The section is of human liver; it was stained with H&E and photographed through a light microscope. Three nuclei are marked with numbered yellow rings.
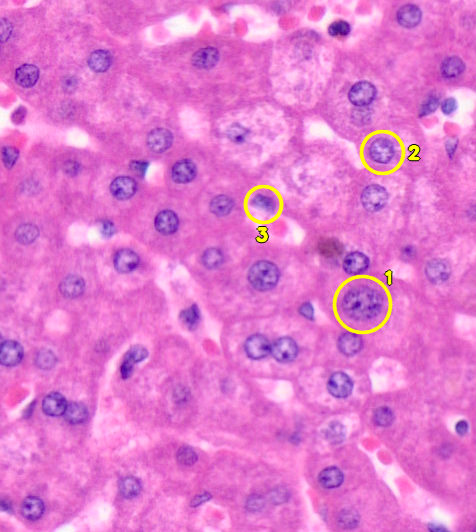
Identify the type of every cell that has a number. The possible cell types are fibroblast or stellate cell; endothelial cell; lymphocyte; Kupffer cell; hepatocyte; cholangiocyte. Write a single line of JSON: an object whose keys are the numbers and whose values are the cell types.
{"1": "hepatocyte", "2": "hepatocyte", "3": "endothelial cell"}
